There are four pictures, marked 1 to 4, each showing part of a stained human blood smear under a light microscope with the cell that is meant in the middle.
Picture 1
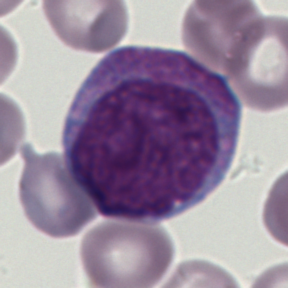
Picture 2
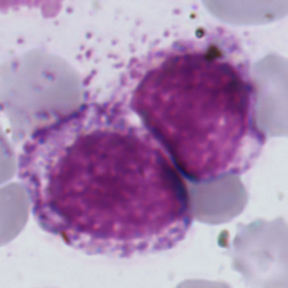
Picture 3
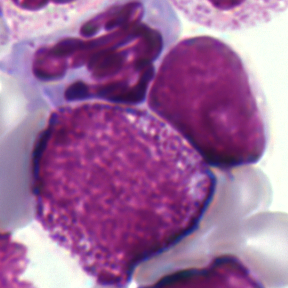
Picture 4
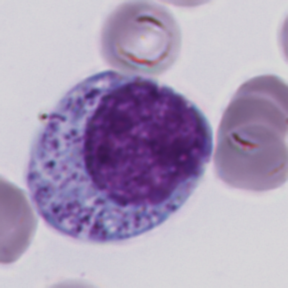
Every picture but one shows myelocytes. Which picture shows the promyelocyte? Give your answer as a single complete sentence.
The promyelocyte is the one in picture 1.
